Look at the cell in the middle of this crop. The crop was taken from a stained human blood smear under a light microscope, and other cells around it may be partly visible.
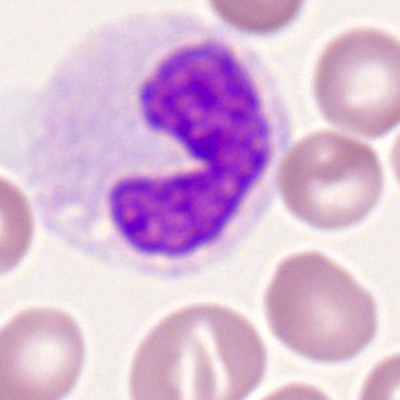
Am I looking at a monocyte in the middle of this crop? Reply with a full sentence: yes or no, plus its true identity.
Yes, the cell that the crop is centered on is a monocyte.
